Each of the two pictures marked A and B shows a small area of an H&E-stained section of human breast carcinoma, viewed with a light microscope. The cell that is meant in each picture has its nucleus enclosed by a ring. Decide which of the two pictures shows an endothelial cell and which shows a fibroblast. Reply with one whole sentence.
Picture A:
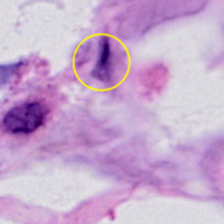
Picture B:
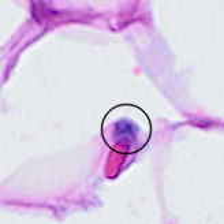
In picture A the cell is a fibroblast; in picture B, an endothelial cell.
